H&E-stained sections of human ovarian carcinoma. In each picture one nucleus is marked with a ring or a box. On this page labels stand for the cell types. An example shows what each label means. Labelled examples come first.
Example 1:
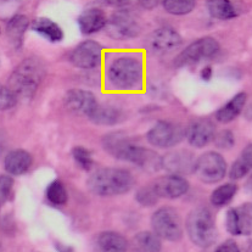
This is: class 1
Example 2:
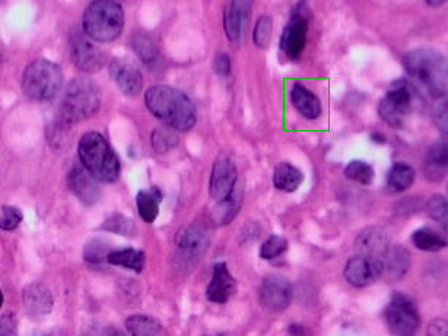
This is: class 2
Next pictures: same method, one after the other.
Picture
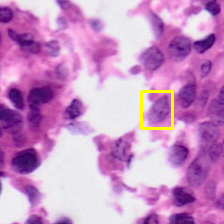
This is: class 1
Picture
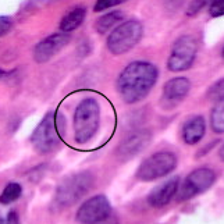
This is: class 2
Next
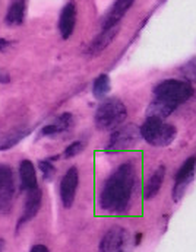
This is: class 1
